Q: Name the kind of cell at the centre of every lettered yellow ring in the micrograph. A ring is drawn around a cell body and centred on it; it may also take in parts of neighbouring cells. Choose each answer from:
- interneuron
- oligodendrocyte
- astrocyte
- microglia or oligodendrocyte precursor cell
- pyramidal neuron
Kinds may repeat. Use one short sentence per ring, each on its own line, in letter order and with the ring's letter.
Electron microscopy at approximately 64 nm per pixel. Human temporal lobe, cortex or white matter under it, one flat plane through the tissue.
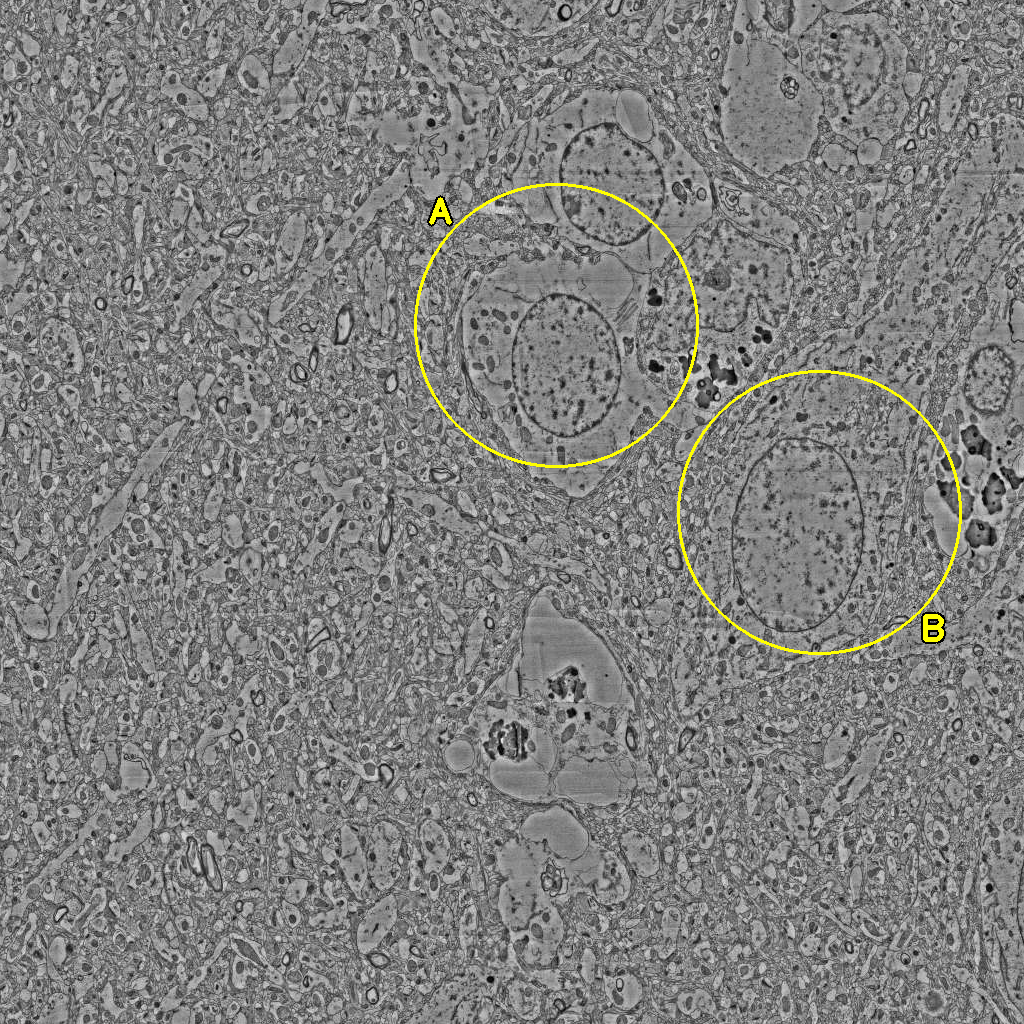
Ring A is placed around an astrocyte.
Ring B is placed around a pyramidal neuron.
